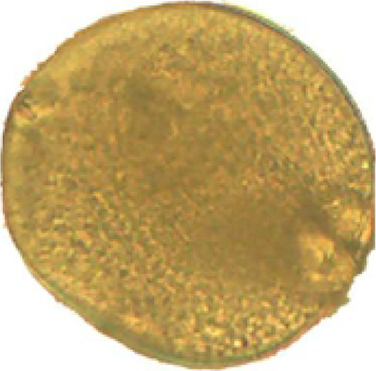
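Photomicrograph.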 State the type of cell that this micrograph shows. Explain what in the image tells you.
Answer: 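Pollen grains. A single rounded-oval grain with a finely granular surface. Grain is bounded by a distinct wall.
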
